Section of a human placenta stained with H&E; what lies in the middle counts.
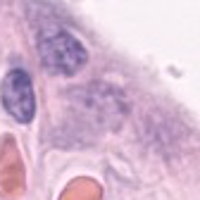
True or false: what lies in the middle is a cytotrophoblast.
True.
